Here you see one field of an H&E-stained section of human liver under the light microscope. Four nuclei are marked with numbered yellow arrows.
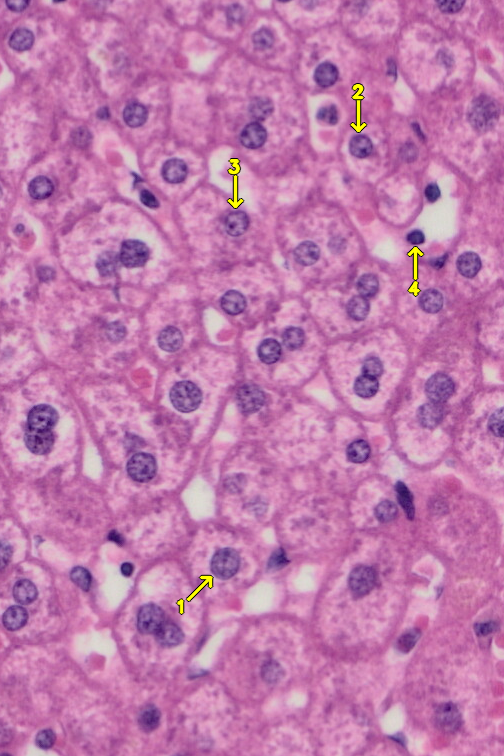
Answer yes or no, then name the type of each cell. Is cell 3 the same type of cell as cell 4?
No, cell 3 is recognized as a hepatocyte, and cell 4 as a lymphocyte.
